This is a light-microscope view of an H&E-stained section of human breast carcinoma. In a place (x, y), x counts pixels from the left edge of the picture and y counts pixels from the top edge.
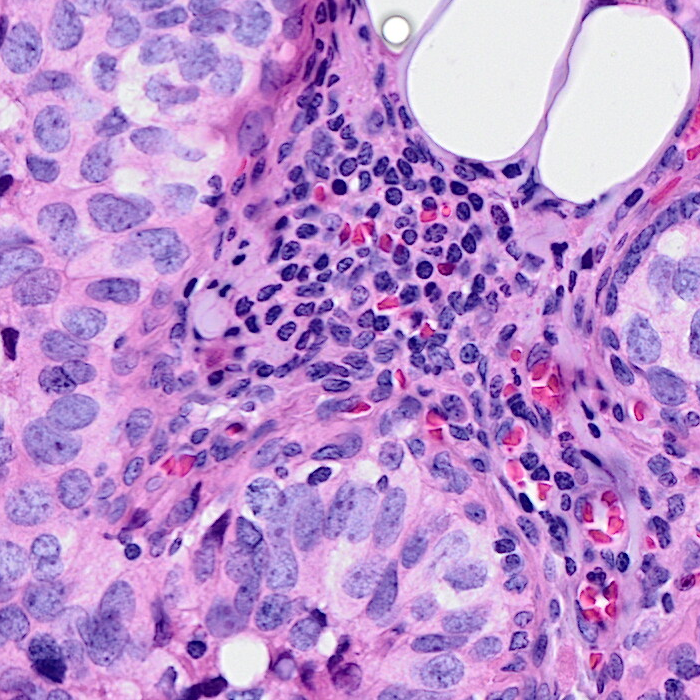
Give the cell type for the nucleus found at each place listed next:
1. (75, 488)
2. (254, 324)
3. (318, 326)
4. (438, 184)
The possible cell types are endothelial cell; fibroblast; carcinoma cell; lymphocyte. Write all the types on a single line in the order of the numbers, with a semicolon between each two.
carcinoma cell; lymphocyte; lymphocyte; lymphocyte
